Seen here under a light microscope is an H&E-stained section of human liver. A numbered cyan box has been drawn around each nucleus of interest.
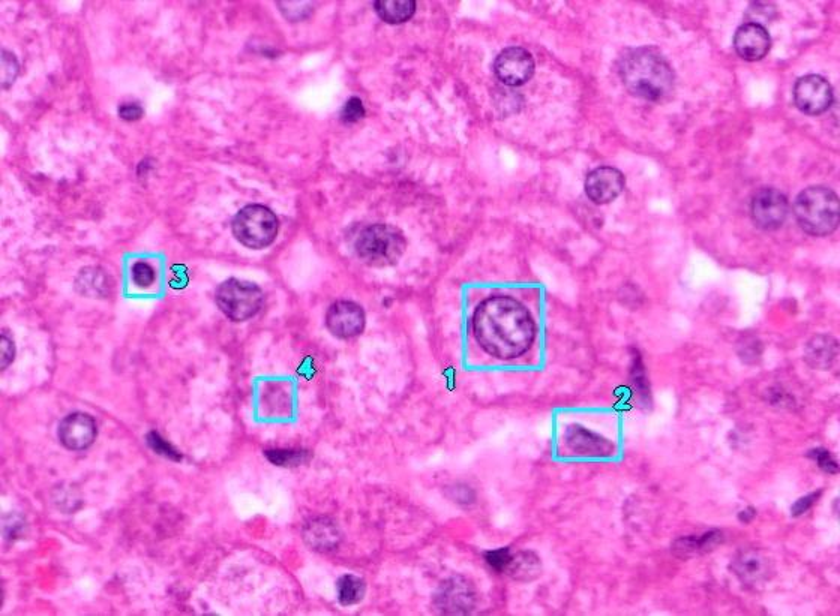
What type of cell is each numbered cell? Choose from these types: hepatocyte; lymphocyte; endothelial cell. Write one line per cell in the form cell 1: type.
cell 1: hepatocyte
cell 2: endothelial cell
cell 3: lymphocyte
cell 4: hepatocyte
